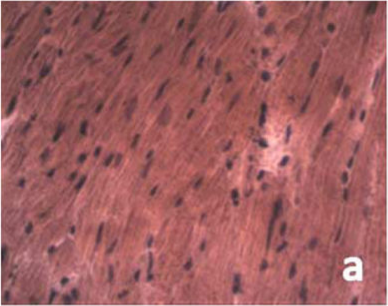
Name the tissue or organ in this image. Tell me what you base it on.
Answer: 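Pink muscle fibers run in parallel, slightly branching. Oval to elongated nuclei sit singly within the fibers. Little connective tissue between fibers. So: cardiac tissues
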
